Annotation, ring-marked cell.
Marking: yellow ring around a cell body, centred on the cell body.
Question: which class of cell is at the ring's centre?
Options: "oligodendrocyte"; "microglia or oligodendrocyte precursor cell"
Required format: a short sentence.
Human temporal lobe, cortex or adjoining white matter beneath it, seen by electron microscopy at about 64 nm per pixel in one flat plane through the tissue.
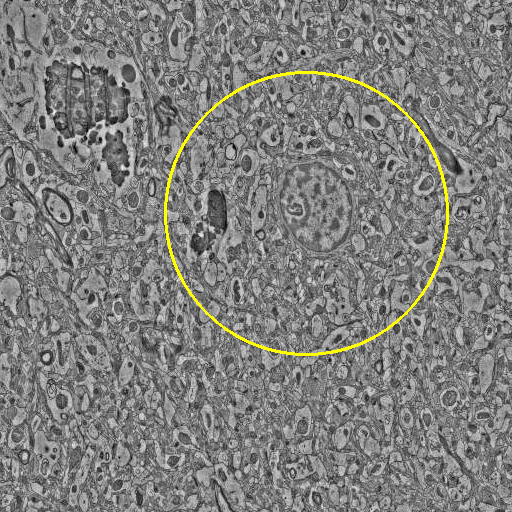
At the ring's centre is an oligodendrocyte.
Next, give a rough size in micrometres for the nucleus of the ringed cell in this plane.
In this plane, the nucleus of the cell at the centre of the ring measures about 6 by 5 micrometres.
